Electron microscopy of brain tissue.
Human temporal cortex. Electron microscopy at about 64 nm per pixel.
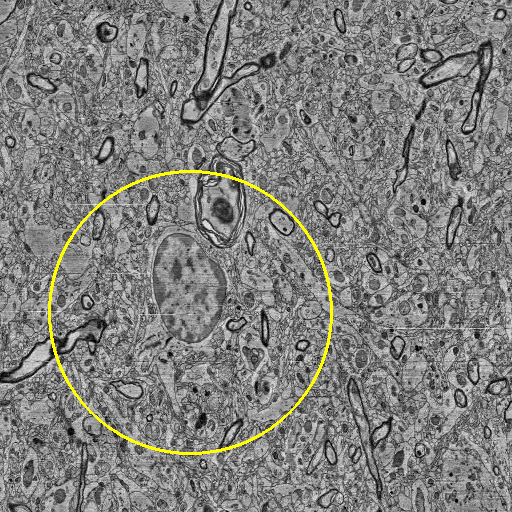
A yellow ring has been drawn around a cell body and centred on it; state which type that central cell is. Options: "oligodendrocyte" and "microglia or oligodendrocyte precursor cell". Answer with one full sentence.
The cell at the middle of the yellow ring is a microglial cell or oligodendrocyte precursor cell in this picture.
